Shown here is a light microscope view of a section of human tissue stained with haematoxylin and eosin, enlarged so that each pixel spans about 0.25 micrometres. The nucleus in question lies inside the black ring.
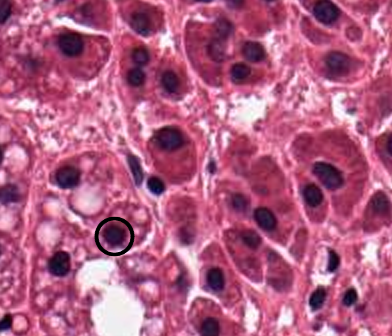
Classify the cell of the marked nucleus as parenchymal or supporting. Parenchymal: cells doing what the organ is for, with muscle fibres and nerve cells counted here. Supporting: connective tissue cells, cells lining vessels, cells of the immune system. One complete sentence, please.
The marked nucleus is that of an adrenal cortical cell, which is a parenchymal cell.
